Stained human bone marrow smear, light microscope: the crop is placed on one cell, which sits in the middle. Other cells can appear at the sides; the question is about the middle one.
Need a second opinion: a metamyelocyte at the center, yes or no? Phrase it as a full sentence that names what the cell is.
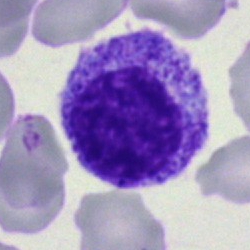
No, calling it a metamyelocyte is wrong; the middle cell is a myelocyte.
